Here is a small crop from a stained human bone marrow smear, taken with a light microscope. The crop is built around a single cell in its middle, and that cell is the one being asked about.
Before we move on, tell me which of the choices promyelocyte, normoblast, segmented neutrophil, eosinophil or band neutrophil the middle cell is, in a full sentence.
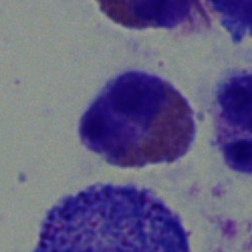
Framed in the middle of the crop is an eosinophil.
